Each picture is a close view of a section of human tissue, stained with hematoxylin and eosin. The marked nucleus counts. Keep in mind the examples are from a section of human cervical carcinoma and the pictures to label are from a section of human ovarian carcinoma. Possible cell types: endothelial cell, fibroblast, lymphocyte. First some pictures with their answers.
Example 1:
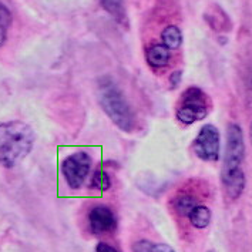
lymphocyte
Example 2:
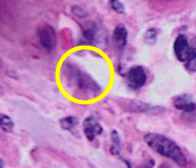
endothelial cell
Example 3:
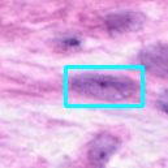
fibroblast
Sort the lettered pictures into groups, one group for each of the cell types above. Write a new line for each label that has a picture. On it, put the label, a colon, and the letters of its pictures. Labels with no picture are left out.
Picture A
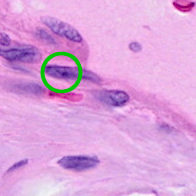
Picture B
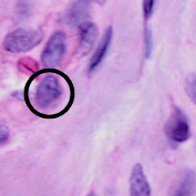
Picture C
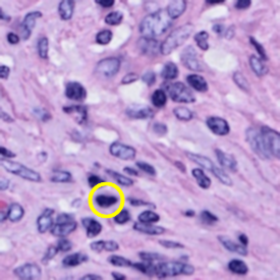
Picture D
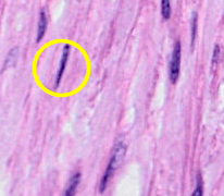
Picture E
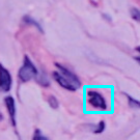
endothelial cell: A, B, E
fibroblast: D
lymphocyte: C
